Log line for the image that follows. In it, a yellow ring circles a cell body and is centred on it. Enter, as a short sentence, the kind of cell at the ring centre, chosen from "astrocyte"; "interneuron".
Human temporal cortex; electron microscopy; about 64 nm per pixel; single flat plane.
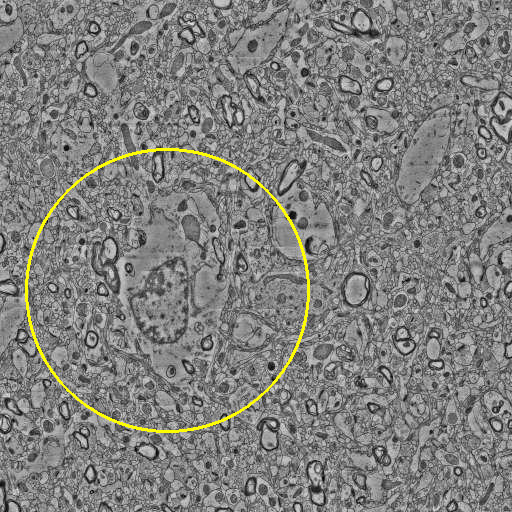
The ring centre is occupied by an astrocyte.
